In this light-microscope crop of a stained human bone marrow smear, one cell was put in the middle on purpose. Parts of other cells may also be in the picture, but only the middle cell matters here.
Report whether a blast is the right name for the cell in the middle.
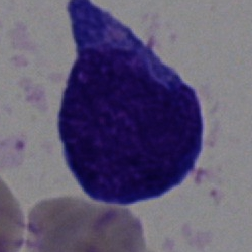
yes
